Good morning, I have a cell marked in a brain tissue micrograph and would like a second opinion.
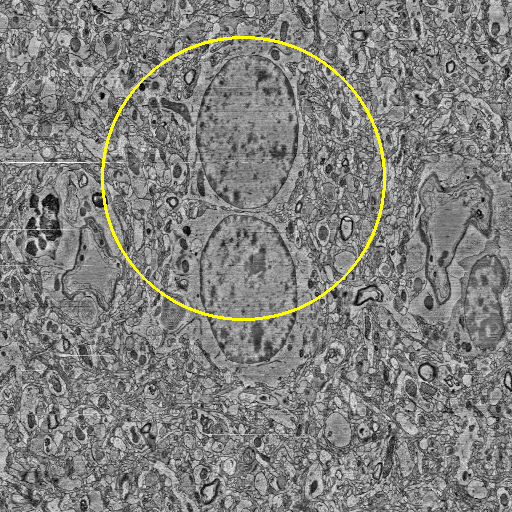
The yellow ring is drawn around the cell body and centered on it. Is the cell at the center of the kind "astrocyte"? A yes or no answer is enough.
yes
